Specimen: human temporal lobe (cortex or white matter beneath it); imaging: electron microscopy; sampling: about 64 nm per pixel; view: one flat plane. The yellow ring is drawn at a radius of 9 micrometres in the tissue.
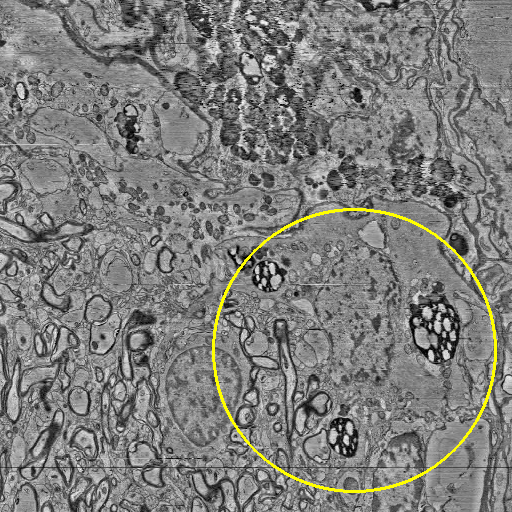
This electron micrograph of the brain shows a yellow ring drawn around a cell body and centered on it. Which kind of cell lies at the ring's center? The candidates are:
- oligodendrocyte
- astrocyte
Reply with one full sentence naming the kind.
The cell lying at the ring's center in this micrograph is an astrocyte.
